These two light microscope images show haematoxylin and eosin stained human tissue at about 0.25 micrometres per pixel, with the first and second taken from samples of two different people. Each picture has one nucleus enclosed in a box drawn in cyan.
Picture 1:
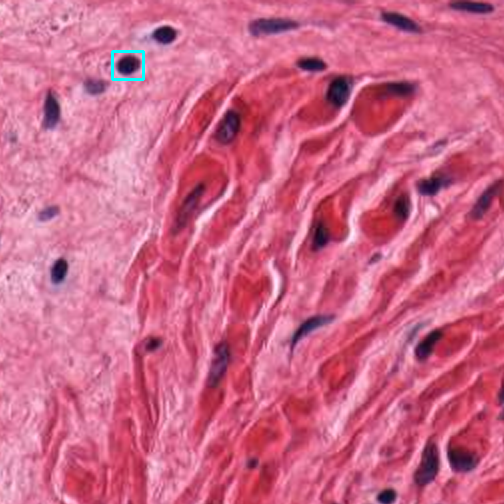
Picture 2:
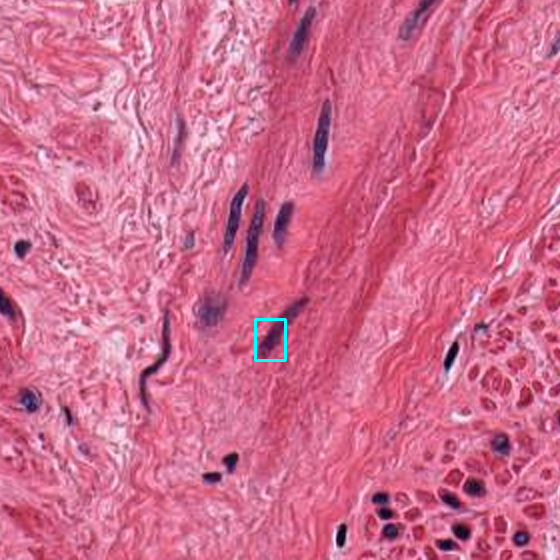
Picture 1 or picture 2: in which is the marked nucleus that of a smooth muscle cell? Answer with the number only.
2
